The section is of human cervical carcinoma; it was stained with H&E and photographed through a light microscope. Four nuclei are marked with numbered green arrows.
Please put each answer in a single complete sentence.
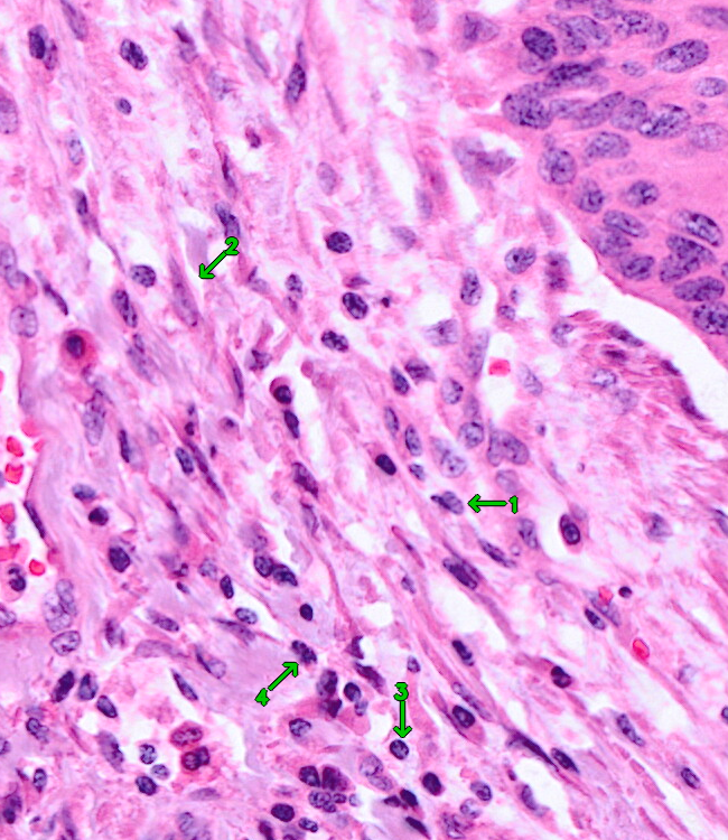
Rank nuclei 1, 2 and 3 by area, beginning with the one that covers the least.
From smallest to largest, the order is 3, 1, 2.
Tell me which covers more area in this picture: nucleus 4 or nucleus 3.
The larger nucleus is 4, at roughly 1.5 times the area of 3.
